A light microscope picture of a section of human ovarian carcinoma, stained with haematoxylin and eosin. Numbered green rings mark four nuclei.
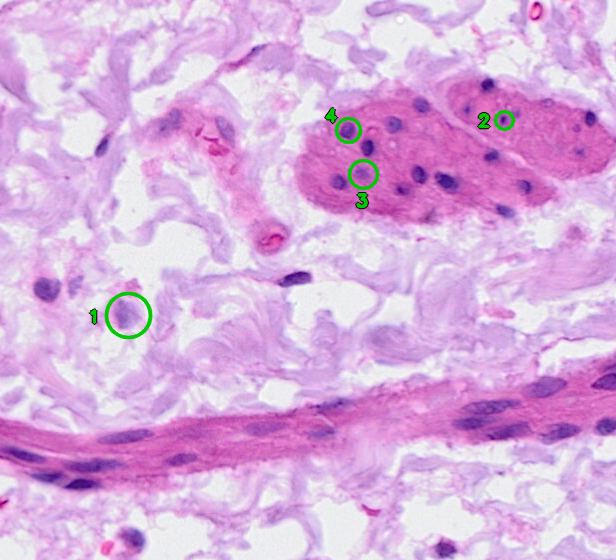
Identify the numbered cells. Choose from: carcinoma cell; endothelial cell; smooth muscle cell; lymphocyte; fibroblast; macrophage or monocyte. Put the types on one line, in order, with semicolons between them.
fibroblast; smooth muscle cell; smooth muscle cell; smooth muscle cell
